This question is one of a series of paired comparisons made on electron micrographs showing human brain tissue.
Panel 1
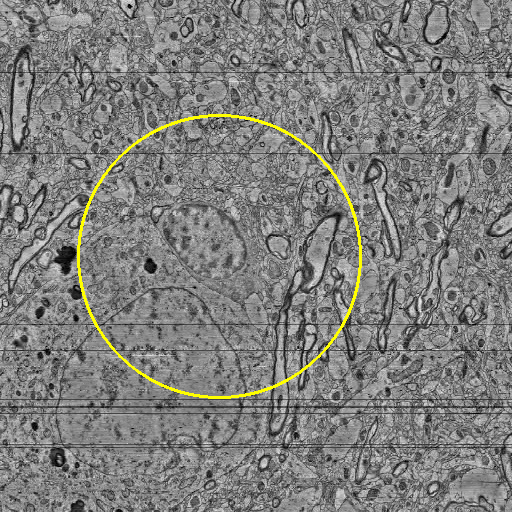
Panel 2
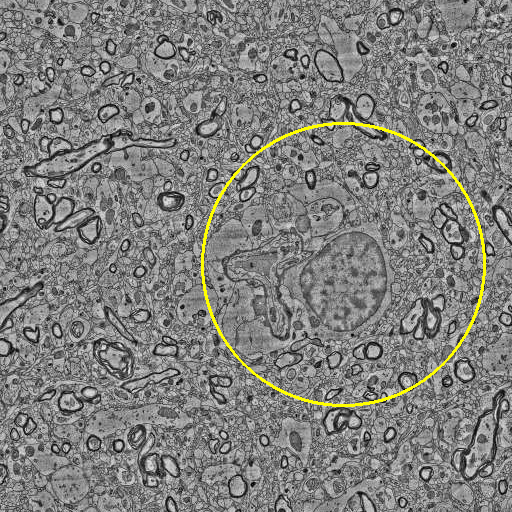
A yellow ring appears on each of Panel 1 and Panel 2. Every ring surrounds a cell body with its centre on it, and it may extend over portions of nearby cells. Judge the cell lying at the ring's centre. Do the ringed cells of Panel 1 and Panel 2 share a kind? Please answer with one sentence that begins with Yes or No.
Yes, the ring-centre cell in Panel 1 and the one in Panel 2 are of one kind.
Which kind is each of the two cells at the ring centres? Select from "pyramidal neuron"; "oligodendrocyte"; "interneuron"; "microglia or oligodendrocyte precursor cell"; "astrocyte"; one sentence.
In each of the two pictures, the ringed cell is an oligodendrocyte.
